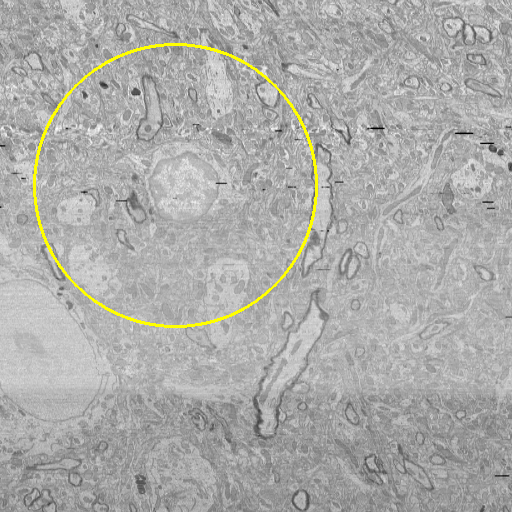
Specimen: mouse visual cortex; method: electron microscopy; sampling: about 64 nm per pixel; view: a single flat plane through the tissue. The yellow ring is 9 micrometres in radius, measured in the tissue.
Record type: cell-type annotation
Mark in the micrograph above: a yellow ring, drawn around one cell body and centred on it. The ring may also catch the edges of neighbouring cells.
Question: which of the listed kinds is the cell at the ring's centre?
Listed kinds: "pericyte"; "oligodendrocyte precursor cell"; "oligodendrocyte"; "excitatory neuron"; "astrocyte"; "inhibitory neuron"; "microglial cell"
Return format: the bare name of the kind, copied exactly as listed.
oligodendrocyte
